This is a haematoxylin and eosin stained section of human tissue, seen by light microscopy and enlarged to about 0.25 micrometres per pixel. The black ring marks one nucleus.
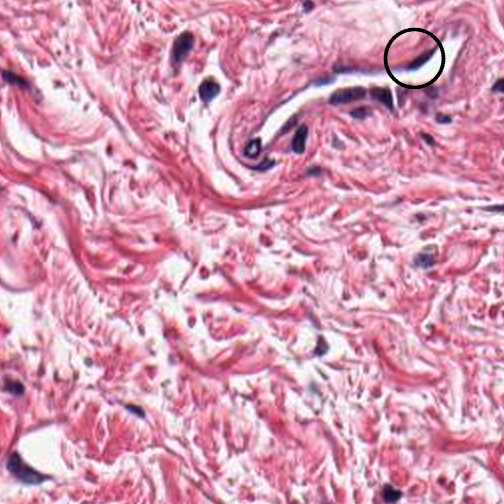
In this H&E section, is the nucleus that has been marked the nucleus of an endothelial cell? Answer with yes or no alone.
yes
